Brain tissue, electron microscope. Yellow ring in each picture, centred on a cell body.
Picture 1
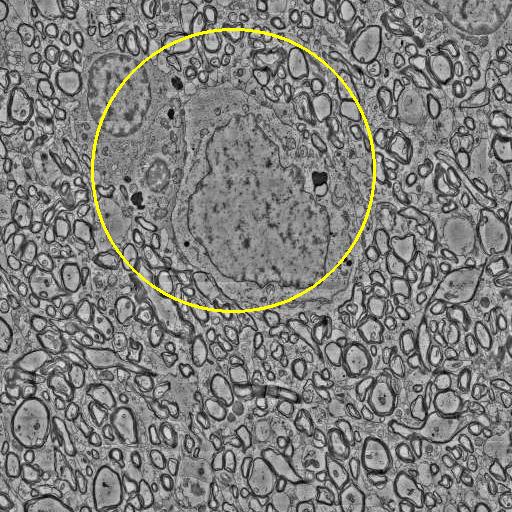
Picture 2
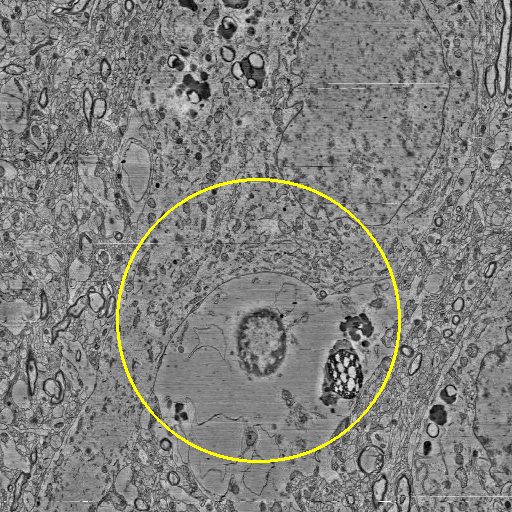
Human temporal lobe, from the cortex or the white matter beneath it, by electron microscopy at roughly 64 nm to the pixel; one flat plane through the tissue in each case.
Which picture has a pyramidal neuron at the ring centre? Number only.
1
